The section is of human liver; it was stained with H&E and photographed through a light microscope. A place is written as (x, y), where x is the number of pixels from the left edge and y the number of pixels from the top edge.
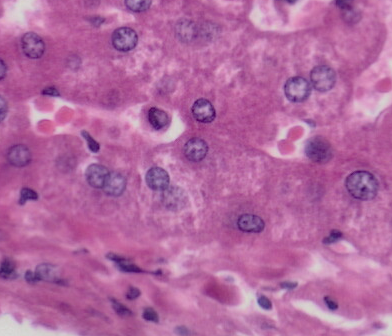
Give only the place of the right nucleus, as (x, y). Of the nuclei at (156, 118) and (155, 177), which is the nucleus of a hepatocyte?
(155, 177)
